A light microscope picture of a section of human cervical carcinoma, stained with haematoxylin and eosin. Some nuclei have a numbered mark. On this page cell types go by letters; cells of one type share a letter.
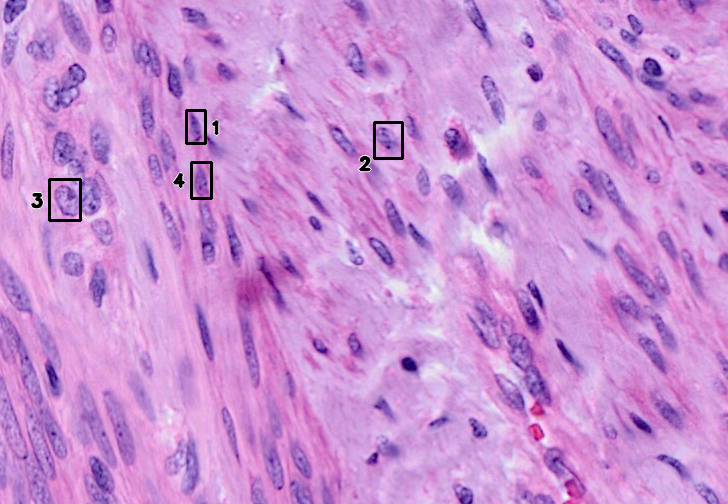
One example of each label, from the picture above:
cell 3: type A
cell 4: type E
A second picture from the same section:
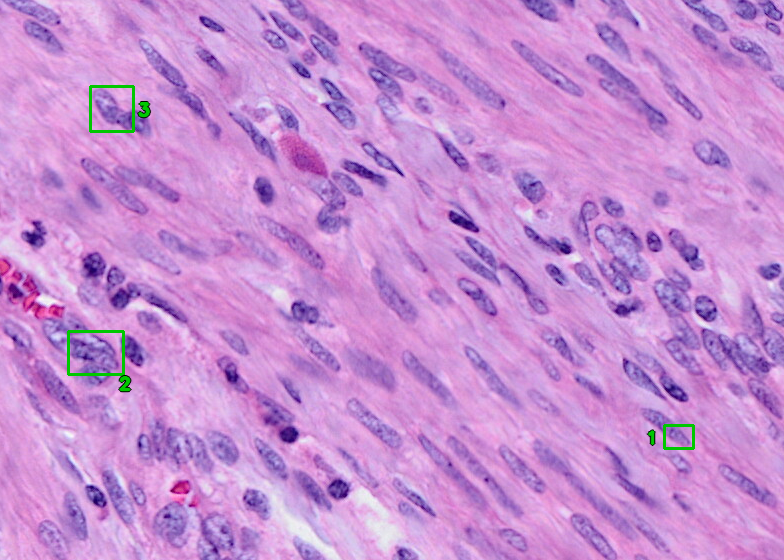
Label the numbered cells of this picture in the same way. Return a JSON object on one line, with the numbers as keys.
{"1": "type E", "2": "type A", "3": "type E"}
